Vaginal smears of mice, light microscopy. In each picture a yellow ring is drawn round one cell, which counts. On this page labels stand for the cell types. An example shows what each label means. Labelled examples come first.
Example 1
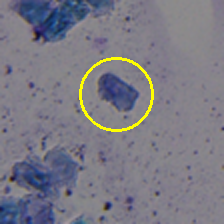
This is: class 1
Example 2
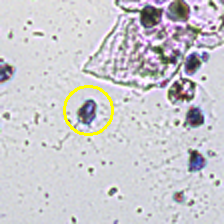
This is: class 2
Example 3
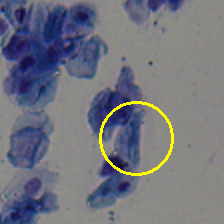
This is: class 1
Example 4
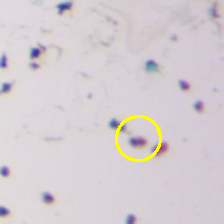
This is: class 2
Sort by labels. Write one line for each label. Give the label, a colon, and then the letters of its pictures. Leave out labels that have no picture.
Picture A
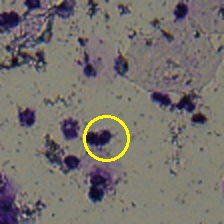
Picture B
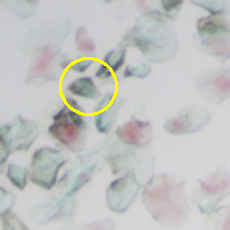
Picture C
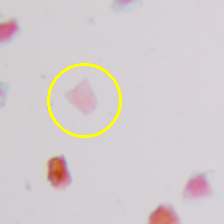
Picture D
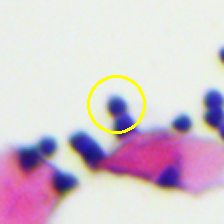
class 1: B, C
class 2: A, D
